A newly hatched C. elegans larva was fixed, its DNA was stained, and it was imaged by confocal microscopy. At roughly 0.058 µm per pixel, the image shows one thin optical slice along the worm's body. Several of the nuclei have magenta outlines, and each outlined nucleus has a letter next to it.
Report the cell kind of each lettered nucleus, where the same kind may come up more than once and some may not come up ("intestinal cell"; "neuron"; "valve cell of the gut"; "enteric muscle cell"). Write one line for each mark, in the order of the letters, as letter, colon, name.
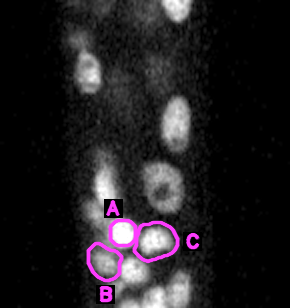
A: enteric muscle cell
B: neuron
C: valve cell of the gut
